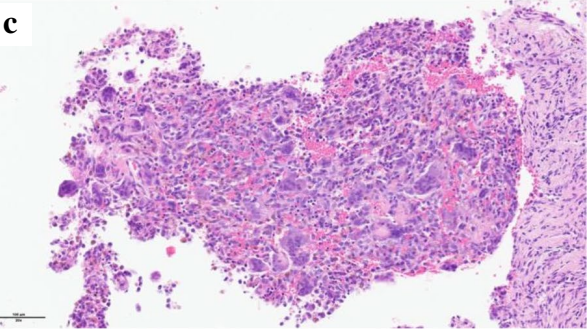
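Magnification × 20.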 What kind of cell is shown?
osteoclast-like giant cells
